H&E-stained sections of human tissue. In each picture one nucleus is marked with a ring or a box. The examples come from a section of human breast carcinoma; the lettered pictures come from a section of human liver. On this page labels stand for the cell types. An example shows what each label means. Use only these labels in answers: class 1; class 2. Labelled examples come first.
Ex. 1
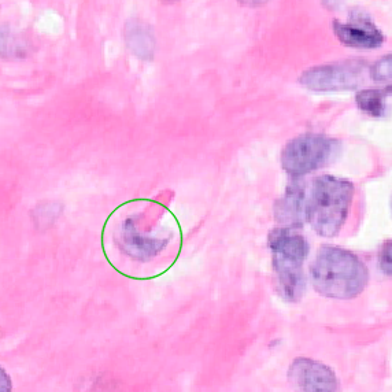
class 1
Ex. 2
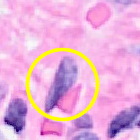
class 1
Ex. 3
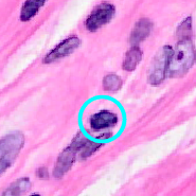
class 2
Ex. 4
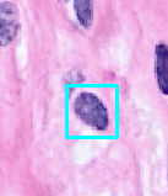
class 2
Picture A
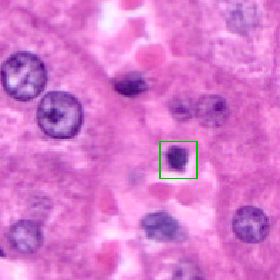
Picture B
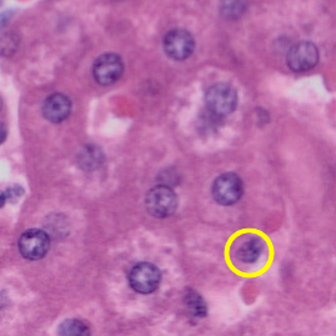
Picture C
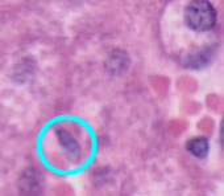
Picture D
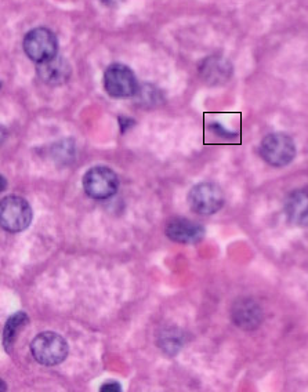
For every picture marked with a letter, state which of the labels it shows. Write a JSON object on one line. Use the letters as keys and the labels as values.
{"A": "class 2", "B": "class 1", "C": "class 1", "D": "class 1"}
